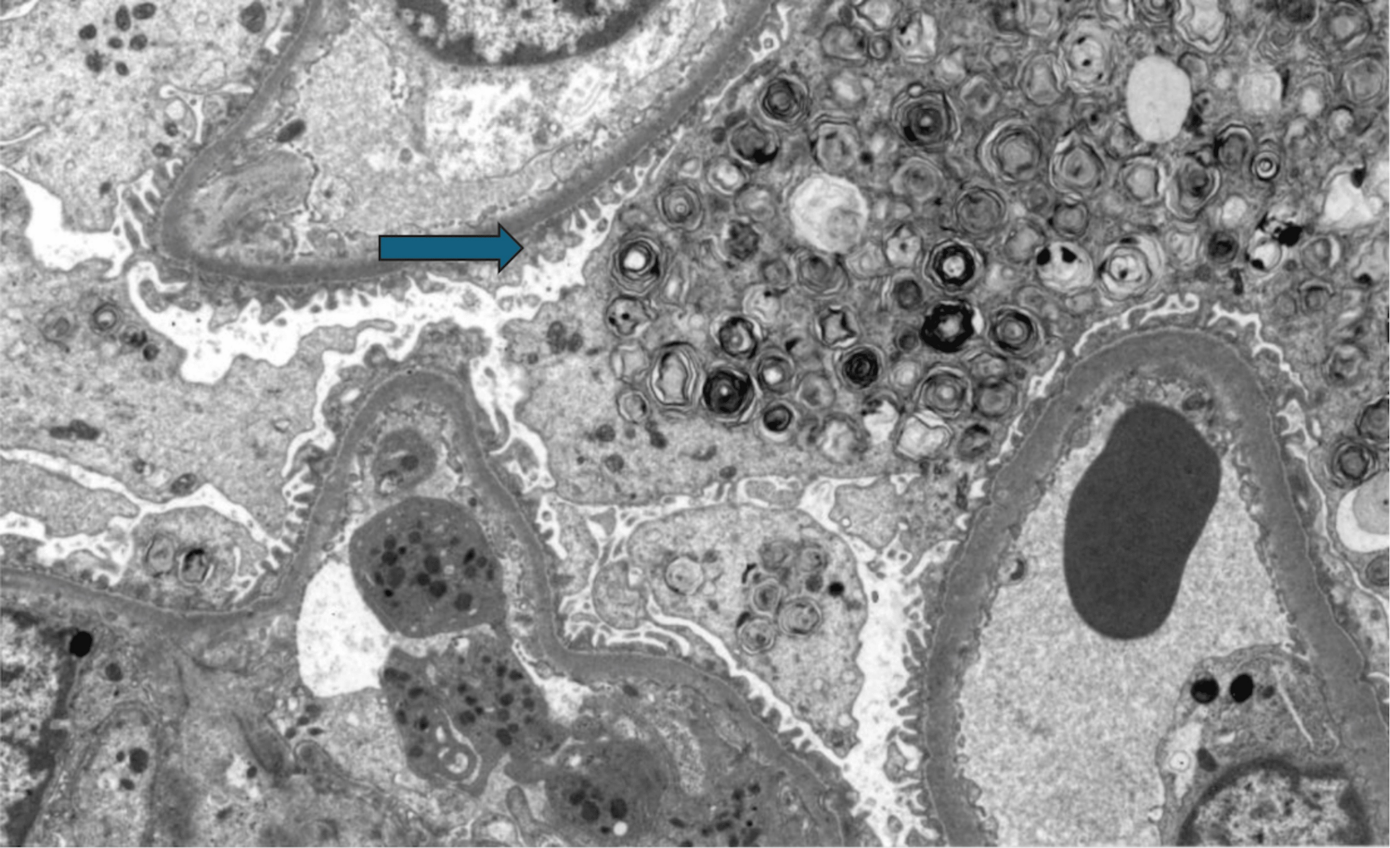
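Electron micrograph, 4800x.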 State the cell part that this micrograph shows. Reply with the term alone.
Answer: Myeloid (lamellar) bodies.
